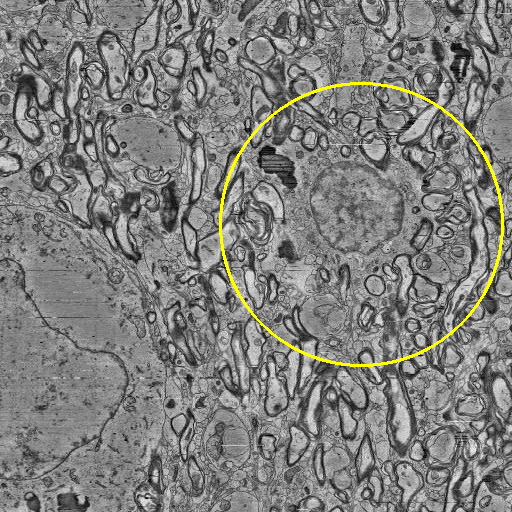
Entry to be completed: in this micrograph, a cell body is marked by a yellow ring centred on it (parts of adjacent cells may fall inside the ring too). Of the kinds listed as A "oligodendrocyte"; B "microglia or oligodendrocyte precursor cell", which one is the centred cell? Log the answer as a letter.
A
